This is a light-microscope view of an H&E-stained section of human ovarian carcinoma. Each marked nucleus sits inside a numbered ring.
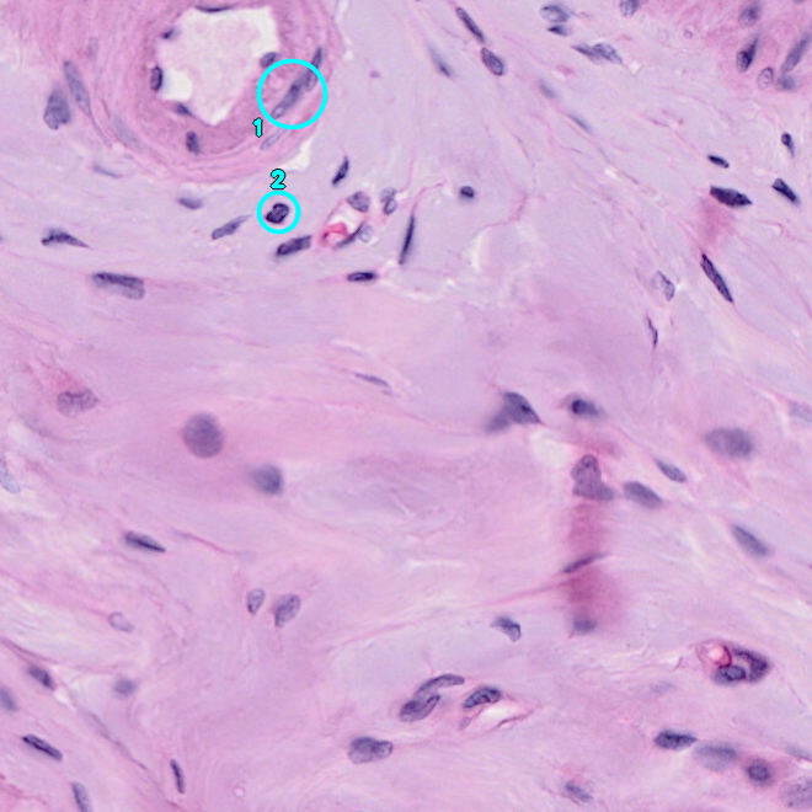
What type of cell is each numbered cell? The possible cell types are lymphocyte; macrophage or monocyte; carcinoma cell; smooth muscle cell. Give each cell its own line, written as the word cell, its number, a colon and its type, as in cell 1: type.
cell 1: smooth muscle cell
cell 2: lymphocyte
